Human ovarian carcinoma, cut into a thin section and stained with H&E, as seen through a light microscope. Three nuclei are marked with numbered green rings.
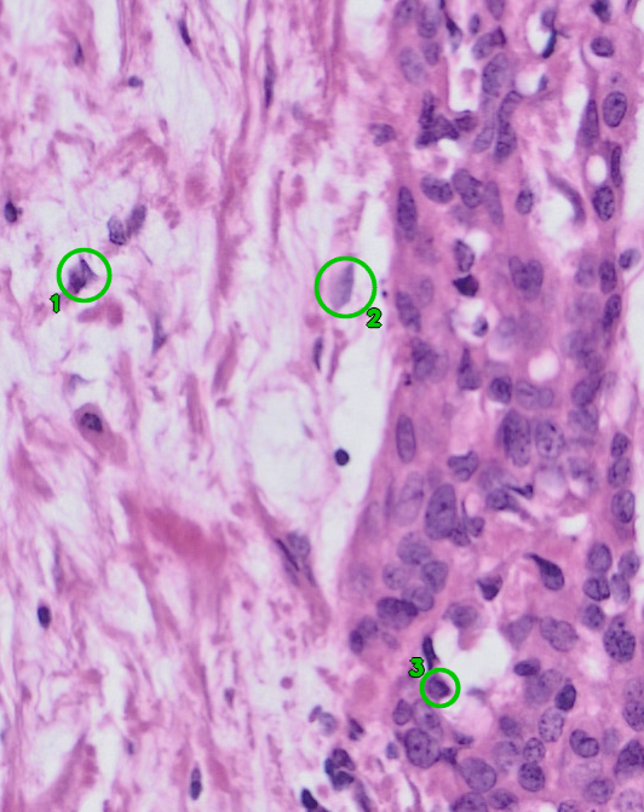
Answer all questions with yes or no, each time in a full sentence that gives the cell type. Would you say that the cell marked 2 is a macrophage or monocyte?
No, cell number 2 is identified as a fibroblast, not as a macrophage or monocyte.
